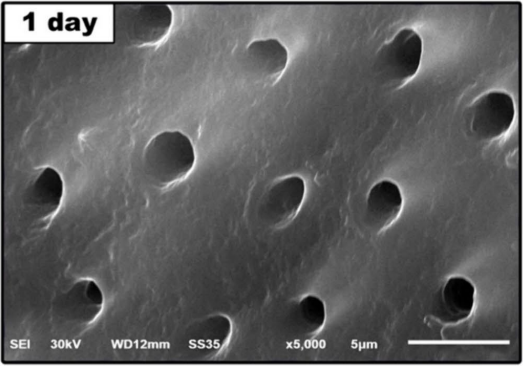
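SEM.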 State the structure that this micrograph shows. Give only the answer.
dentinal tubules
